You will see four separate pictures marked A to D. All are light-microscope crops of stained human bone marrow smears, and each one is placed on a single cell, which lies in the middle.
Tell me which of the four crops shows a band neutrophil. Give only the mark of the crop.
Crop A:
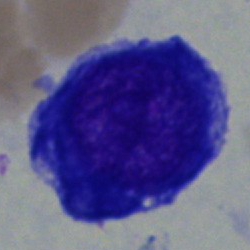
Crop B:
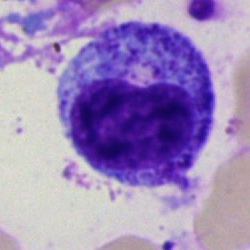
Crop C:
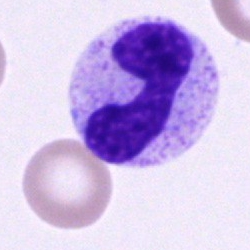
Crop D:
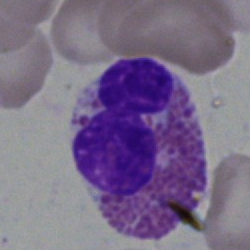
C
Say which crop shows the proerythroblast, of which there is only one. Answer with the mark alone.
A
